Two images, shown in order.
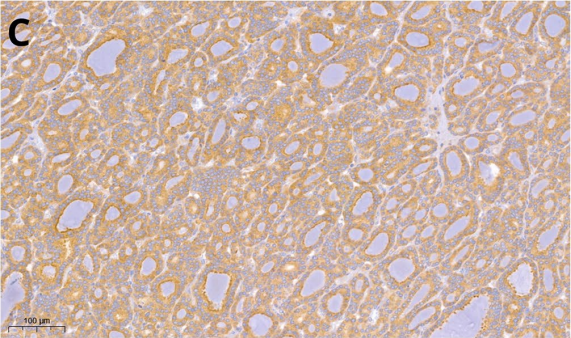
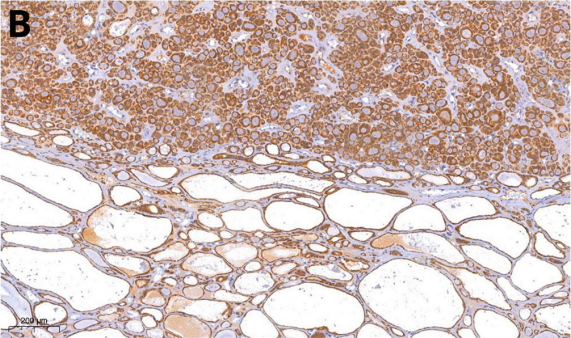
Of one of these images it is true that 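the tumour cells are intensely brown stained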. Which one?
The second image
